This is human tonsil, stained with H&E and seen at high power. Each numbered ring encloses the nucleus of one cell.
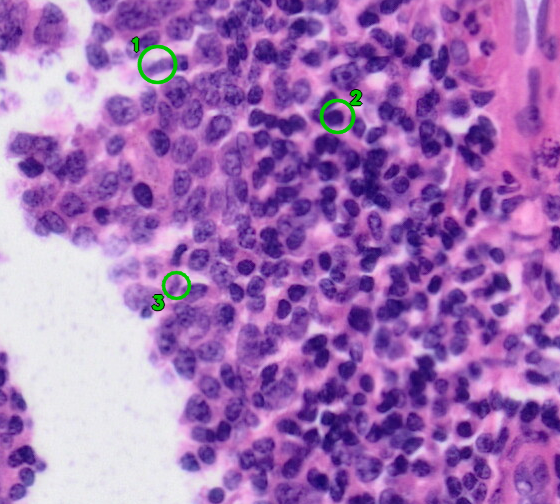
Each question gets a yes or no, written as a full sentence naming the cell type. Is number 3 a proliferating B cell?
Yes, the cell that number 3 points to is a proliferating B cell.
